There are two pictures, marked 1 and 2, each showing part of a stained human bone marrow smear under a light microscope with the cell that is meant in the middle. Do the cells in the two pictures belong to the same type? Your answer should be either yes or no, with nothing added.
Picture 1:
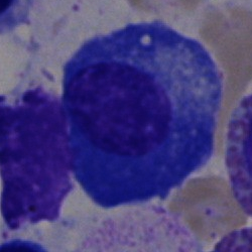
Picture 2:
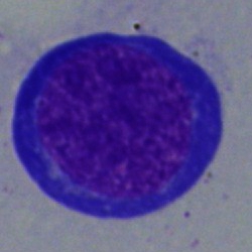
no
